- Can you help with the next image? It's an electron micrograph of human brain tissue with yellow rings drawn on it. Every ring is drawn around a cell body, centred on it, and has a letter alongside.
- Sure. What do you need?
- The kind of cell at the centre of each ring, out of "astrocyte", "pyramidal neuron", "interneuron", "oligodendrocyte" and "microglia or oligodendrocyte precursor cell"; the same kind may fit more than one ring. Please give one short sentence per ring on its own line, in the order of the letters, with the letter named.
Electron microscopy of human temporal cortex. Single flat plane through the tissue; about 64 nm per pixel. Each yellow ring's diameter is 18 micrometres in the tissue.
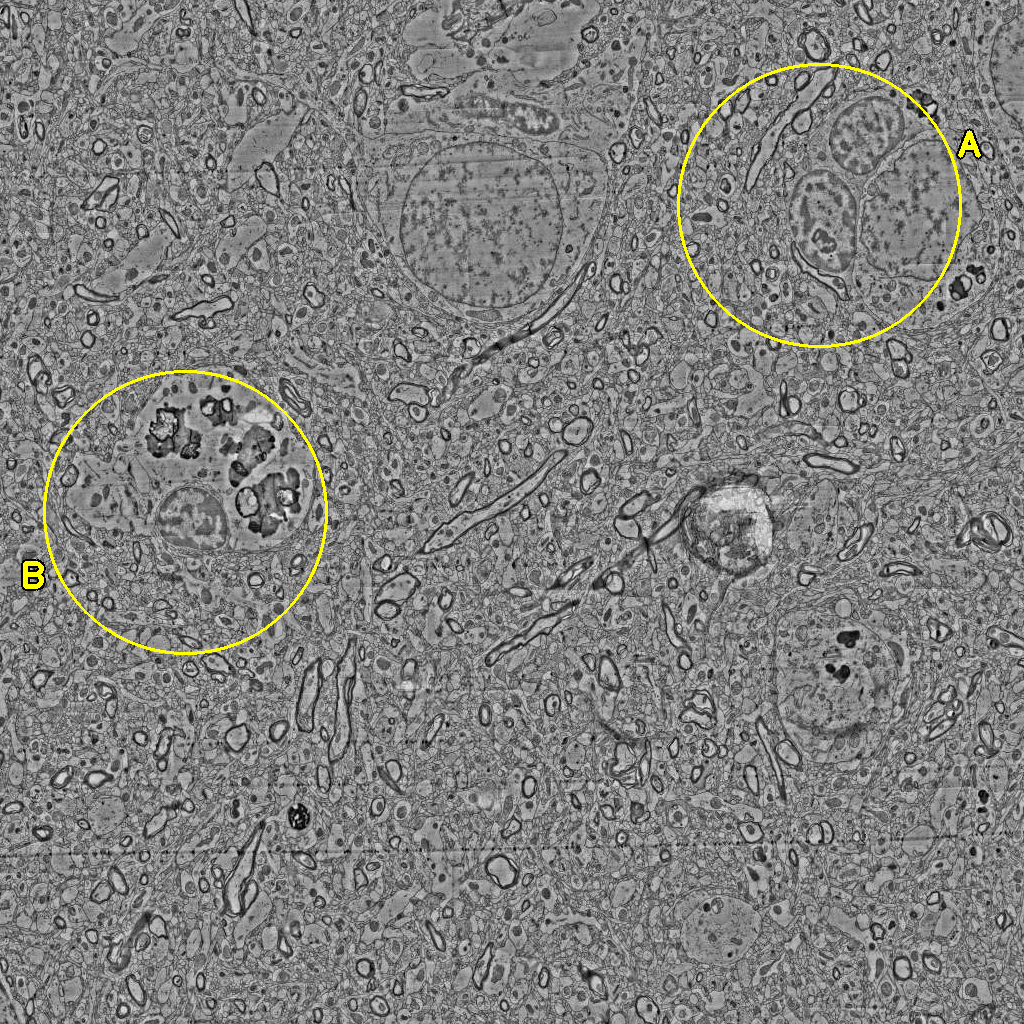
Ring A picks out an oligodendrocyte.
Ring B picks out a microglial cell or oligodendrocyte precursor cell.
